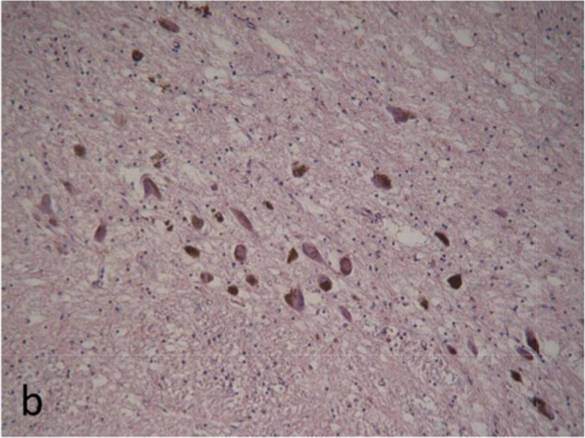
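This is the substantia nigra, with many large angular neurons whose cytoplasm holds brown granular pigment. They lie scattered in a pink fibrillary neuropil with small dark glial nuclei between them.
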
